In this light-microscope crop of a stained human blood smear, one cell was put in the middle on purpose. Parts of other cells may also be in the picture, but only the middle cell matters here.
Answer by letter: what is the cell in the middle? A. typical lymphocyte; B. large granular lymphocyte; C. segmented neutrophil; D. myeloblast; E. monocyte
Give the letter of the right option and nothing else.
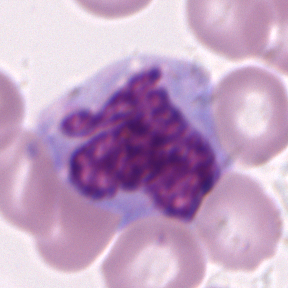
E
